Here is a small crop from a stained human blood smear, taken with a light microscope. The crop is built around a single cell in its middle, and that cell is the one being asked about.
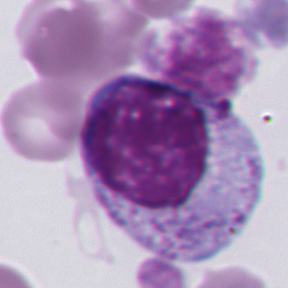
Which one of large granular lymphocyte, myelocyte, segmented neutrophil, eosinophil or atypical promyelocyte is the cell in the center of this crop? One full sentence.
The central cell shown in this smear crop is a myelocyte.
